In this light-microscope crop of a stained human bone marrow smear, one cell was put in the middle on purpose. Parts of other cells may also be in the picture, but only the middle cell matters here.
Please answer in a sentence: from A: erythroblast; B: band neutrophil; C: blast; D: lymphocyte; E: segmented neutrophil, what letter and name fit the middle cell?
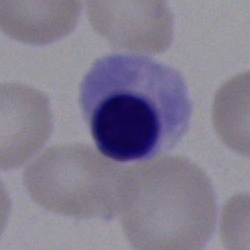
Since the cell in the centre is an erythroblast, the correct option is A.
